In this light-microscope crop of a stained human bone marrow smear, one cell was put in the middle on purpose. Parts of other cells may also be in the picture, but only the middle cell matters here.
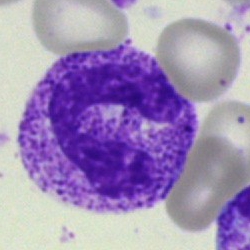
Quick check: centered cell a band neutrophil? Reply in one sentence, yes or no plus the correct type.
Yes, the centrally placed cell is a band neutrophil.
